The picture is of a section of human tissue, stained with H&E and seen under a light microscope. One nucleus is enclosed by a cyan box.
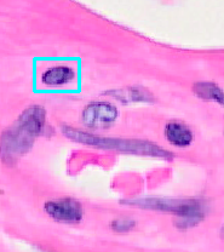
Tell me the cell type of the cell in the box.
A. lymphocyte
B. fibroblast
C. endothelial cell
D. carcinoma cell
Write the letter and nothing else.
A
